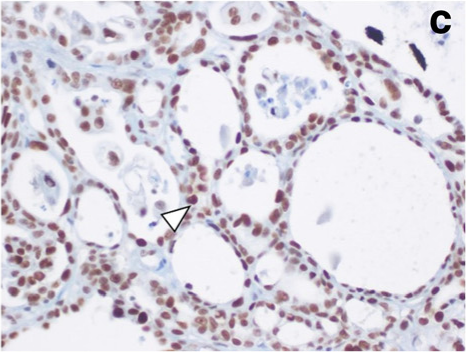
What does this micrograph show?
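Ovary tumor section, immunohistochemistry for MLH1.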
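The spaces are lined by one or a few layers of epithelial cells with oval nuclei. Most of these nuclei are stained brown, while the cytoplasm stays pale. Thin strands of pale blue stroma separate the glands, and some spaces contain loose clusters of cells or pale material.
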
